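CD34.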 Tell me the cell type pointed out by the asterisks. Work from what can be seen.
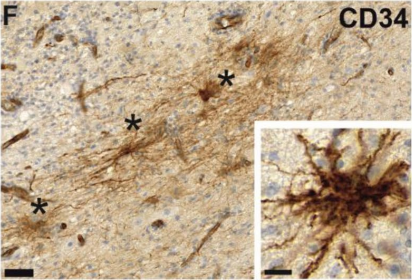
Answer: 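Brown-stained cells with many thin processes radiating in all directions. Inset shows one cell with a dense center and star-like branches. The answer: stellate cells.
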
